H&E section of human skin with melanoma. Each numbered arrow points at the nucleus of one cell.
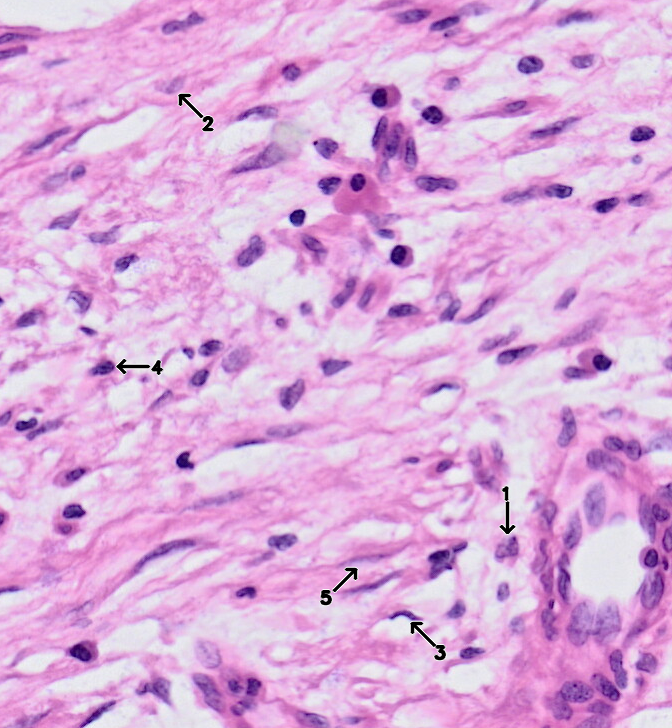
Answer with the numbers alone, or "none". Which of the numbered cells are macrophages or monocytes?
1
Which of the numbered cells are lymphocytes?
4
